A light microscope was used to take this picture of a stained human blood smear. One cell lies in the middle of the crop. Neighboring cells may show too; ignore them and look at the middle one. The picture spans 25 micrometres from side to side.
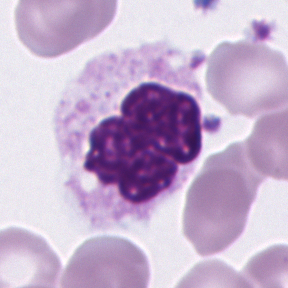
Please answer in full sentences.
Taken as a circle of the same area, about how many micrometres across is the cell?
The diameter of the cell comes to about 14 micrometres.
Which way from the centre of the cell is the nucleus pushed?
The nucleus lies toward the lower right of the cell.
